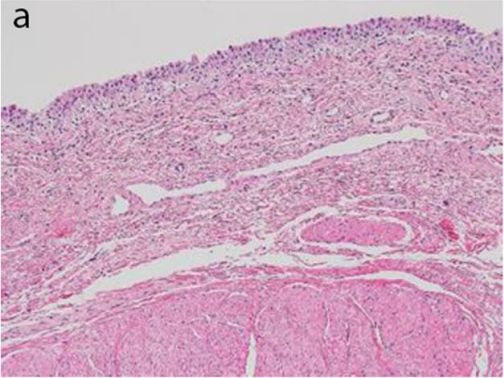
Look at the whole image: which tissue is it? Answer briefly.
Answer: Bladders.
